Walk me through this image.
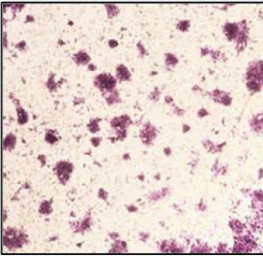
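The cells lie in many rounded clusters of varying size scattered over the field, with a dense confluent patch at the lower right. Between the clusters, faint small purple dots and isolated cells are seen. Single-cell outlines are poorly resolved at this low magnification.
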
